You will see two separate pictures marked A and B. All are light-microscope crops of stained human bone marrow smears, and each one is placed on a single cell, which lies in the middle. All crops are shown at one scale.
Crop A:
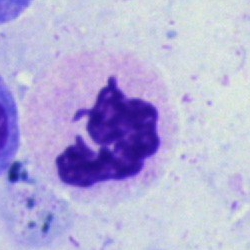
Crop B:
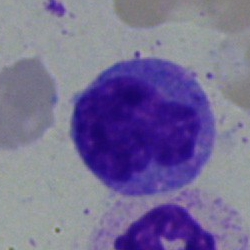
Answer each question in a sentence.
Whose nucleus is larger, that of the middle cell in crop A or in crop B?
It is the nucleus in crop B, about 1.5 times as large in area as the one in crop A.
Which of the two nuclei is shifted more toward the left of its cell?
In crop B the nucleus is shifted more toward the left.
